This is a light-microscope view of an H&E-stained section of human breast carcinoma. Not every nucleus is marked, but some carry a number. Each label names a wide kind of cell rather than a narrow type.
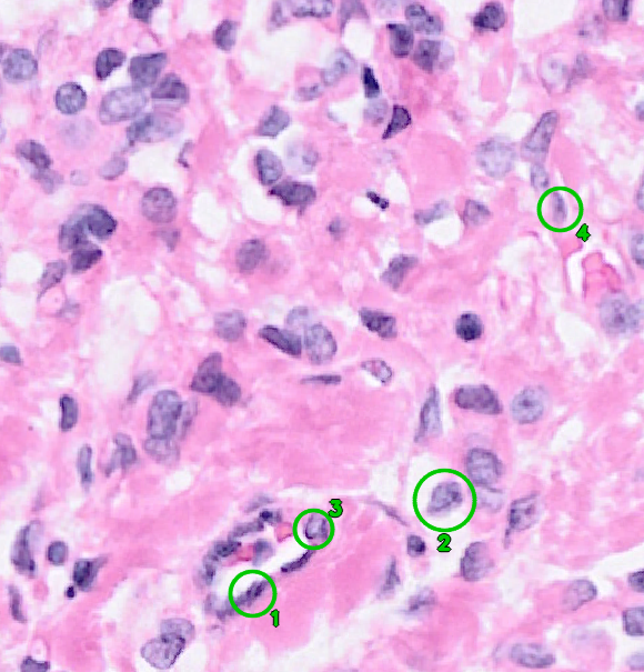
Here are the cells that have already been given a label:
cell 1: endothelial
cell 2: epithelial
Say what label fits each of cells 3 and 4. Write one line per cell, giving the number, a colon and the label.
3: endothelial
4: endothelial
